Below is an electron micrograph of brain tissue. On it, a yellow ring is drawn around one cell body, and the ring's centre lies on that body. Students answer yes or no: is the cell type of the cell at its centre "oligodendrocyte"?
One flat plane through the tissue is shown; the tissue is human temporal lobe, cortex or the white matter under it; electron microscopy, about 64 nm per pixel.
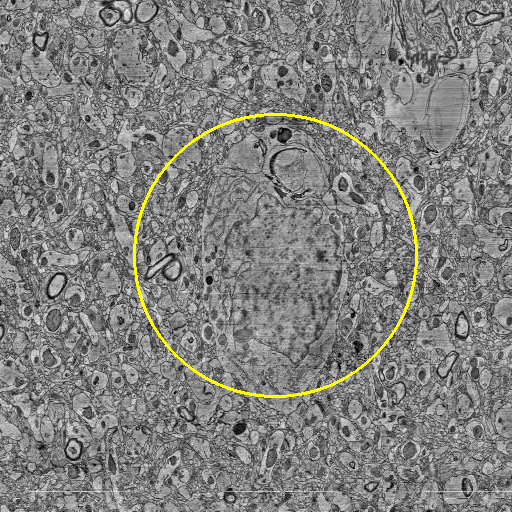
no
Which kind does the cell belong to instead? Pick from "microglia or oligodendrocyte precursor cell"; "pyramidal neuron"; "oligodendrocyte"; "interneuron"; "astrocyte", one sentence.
So the cell at the centre is an interneuron.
